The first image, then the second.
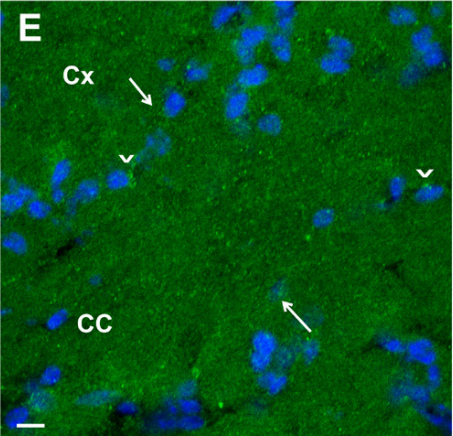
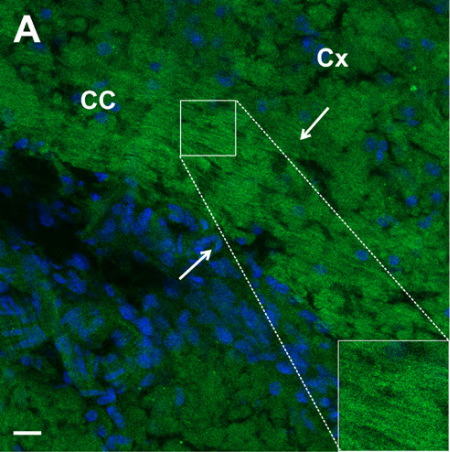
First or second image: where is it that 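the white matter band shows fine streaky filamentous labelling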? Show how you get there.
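First image: the green between the arrows is a uniform granular haze without streaks. Second image: the green between the arrows forms fine parallel streaks. On this evidence: the second image.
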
